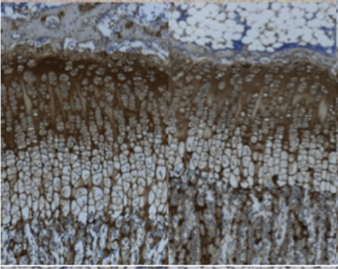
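This is the growth plate cartilage, with its matrix stained brown. Toward the lower part the cells swell into large, pale, rounded chondrocytes separated by brown matrix strands. Above the cartilage lies pale, bubbly tissue with bluish areas.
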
